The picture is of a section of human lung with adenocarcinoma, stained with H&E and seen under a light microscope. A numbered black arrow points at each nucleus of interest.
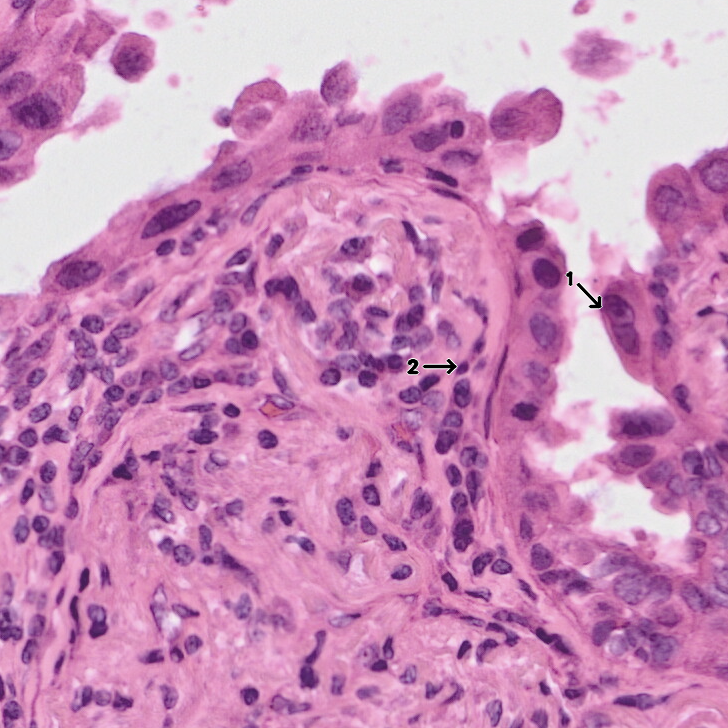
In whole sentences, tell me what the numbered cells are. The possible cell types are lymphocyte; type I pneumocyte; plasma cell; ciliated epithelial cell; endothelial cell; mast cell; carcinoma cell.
Cell 1 is a carcinoma cell. Cell 2 is a lymphocyte.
